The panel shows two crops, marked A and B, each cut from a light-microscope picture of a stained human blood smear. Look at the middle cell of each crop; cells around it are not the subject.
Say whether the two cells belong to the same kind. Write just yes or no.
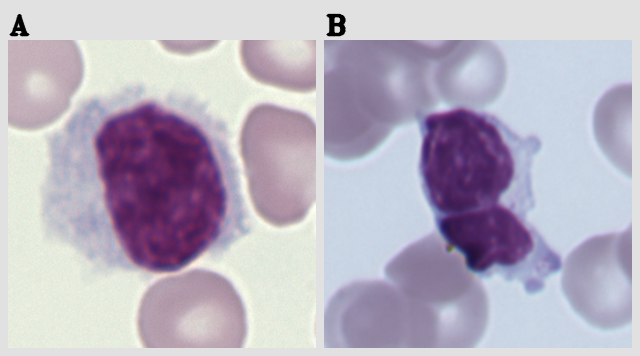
no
